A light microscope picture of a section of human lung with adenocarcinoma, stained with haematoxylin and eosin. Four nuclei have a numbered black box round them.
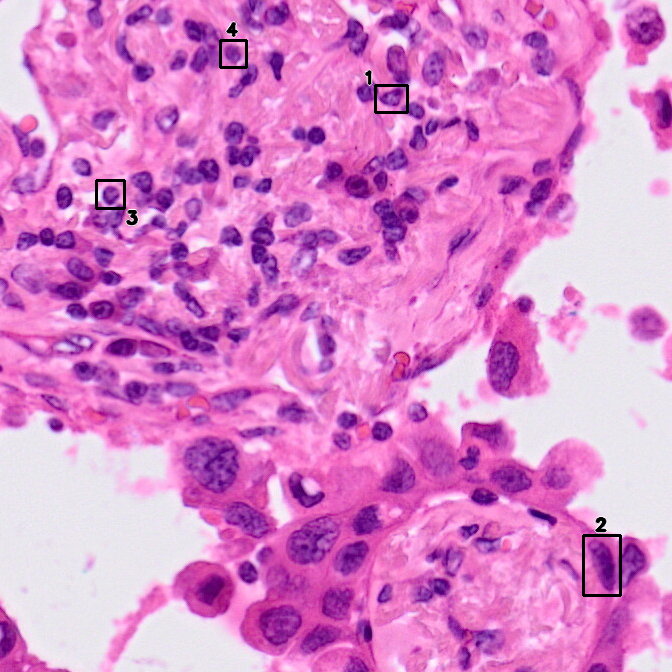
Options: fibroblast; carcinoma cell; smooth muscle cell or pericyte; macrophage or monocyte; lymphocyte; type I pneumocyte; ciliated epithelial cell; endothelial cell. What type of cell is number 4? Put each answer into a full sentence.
The cell that bears the number 4 is a lymphocyte.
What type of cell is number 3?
The cell marked with the number 3 is a lymphocyte.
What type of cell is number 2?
Within this field of view, the cell labelled 2 is a carcinoma cell.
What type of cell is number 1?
The cell to which the number 1 is assigned is a lymphocyte.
